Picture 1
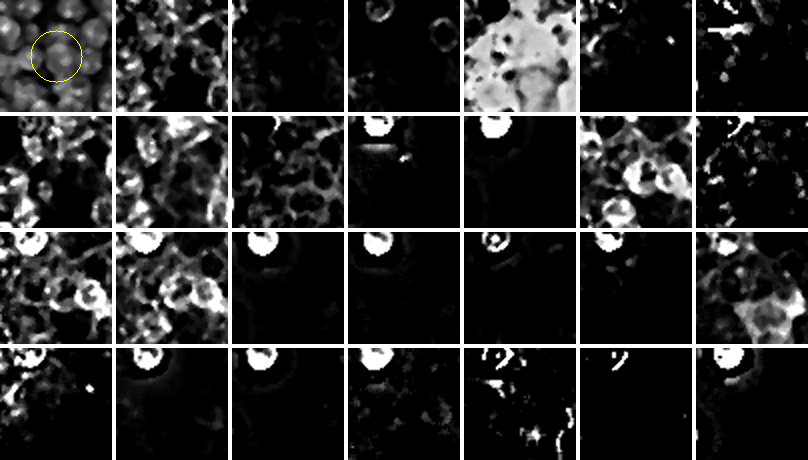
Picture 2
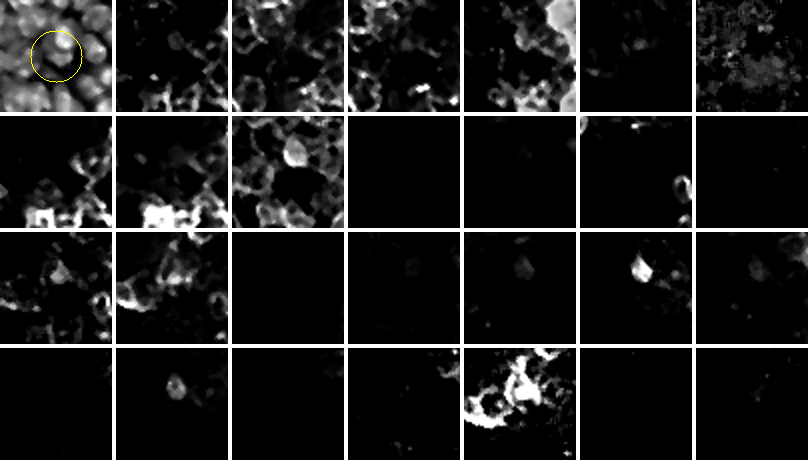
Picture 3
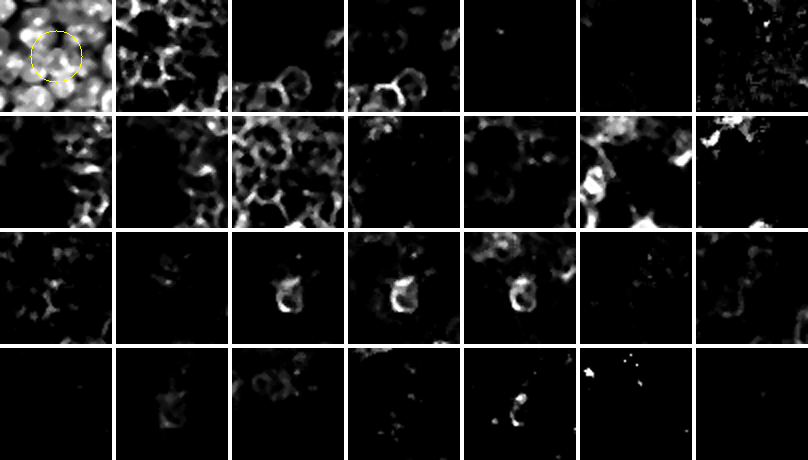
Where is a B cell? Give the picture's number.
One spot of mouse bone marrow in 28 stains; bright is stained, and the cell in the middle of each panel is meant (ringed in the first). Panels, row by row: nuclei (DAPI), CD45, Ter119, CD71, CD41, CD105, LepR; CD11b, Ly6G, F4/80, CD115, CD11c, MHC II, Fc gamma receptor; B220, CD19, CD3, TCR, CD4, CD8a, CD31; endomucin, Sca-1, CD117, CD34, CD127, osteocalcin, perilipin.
1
